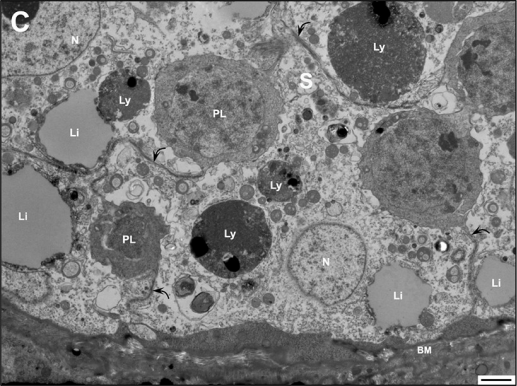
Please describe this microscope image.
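This is the basal seminiferous epithelium, with Sertoli cell cytoplasm filling much of the field above the basement membrane. Abnormally large and medium-sized round lysosomes, very dark and granular, stand out within it, alongside large pale homogeneous lipid droplets. Preleptotene spermatocytes with round nuclei and a Sertoli cell nucleus with a thin envelope lie among them, and the cytoplasm holds many small vesicles and membrane profiles.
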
